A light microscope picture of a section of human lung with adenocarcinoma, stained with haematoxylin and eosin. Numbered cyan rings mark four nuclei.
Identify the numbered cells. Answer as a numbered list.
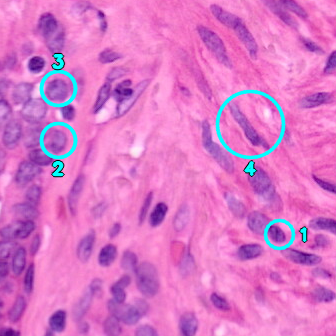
1. smooth muscle cell or pericyte
2. ciliated epithelial cell
3. ciliated epithelial cell
4. smooth muscle cell or pericyte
